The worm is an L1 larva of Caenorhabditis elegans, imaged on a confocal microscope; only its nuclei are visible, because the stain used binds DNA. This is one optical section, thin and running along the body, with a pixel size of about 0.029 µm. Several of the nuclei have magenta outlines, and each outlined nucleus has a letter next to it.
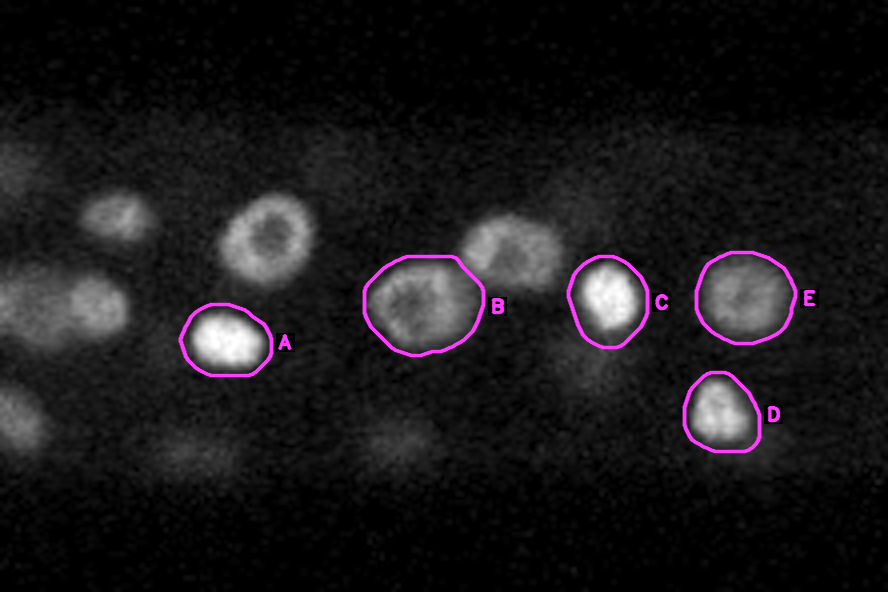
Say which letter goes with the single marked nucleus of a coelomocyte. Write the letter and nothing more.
D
